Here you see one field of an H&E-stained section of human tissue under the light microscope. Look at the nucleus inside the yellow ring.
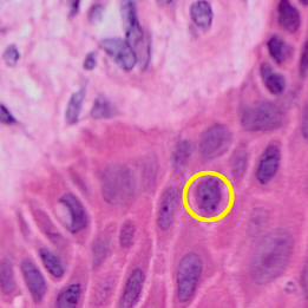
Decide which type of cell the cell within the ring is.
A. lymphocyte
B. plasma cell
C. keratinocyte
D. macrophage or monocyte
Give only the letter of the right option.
C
